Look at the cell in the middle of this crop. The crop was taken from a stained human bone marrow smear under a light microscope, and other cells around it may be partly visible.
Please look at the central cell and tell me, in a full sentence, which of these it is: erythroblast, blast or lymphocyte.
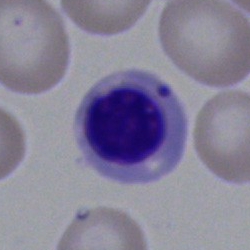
The target cell in the middle of the crop is an erythroblast.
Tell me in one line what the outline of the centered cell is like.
Edge check done: smooth outline, no projections present.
